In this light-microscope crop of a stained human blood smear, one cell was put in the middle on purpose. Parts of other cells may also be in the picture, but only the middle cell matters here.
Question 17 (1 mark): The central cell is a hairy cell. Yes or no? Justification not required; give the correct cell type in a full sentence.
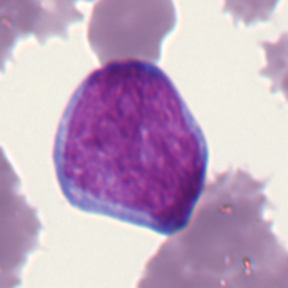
No, the central cell is classed as a myeloblast, not a hairy cell.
